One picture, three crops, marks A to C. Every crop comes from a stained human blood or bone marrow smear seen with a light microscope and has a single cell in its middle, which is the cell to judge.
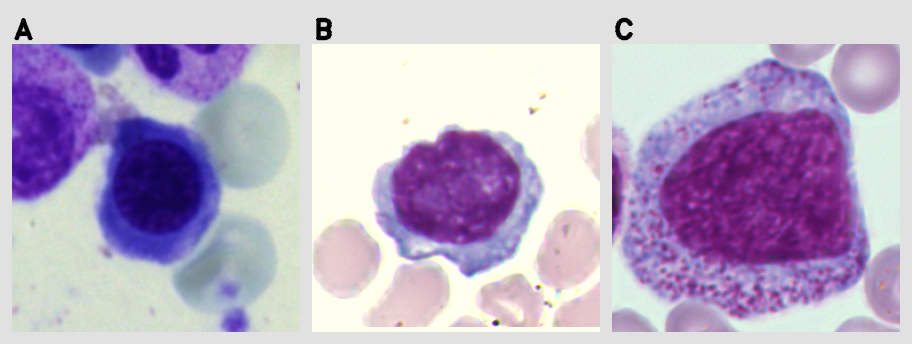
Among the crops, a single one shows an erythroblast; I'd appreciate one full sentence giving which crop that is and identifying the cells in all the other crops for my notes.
Crop A is to be called an erythroblast, while crop B is a plasma cell and crop C is a promyelocyte.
